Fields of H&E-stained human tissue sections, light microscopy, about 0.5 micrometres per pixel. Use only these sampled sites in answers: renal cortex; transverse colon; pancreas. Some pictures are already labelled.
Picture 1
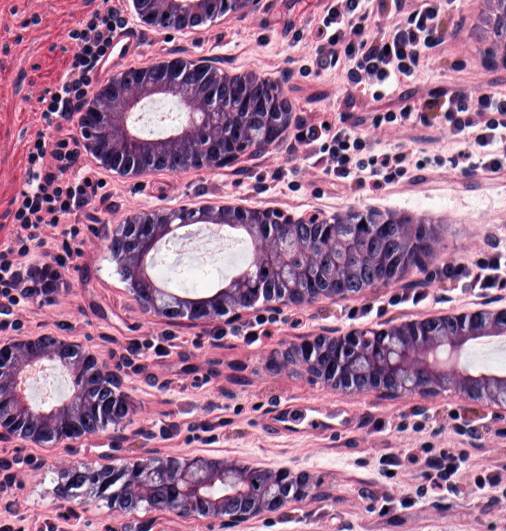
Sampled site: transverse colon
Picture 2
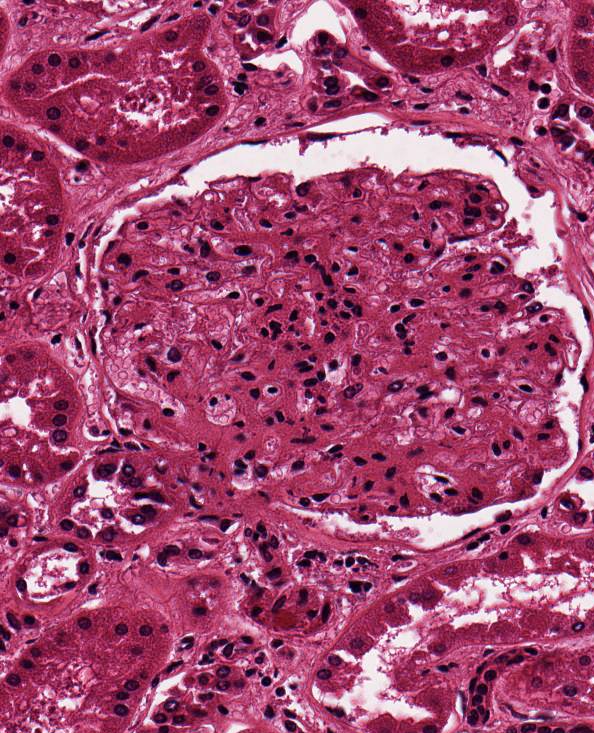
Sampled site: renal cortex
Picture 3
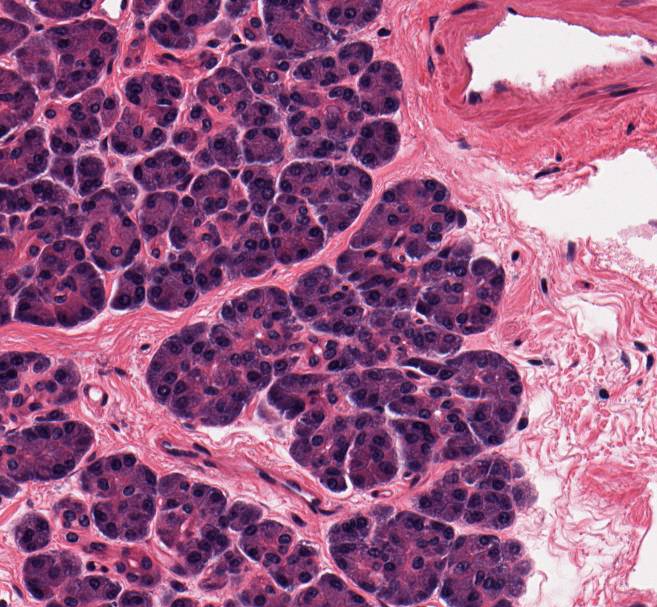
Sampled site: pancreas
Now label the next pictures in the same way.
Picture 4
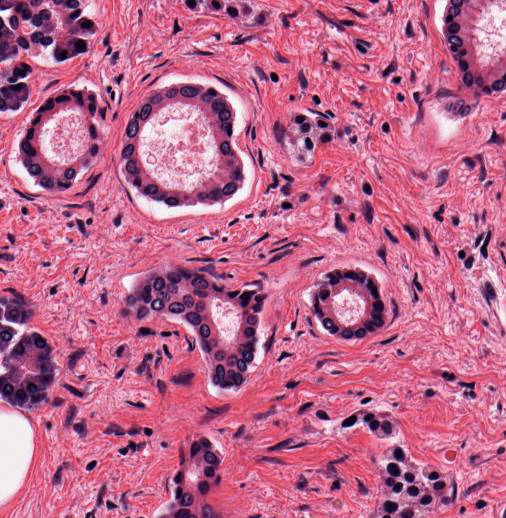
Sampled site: pancreas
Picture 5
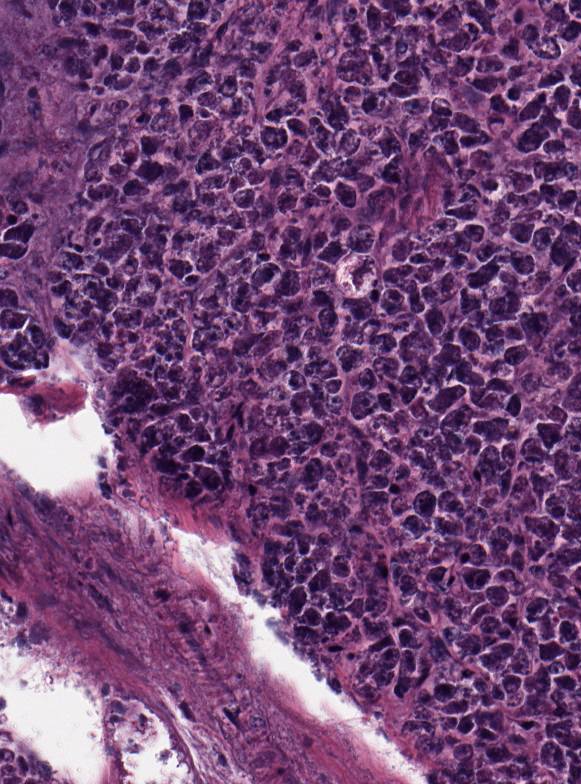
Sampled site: pancreas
